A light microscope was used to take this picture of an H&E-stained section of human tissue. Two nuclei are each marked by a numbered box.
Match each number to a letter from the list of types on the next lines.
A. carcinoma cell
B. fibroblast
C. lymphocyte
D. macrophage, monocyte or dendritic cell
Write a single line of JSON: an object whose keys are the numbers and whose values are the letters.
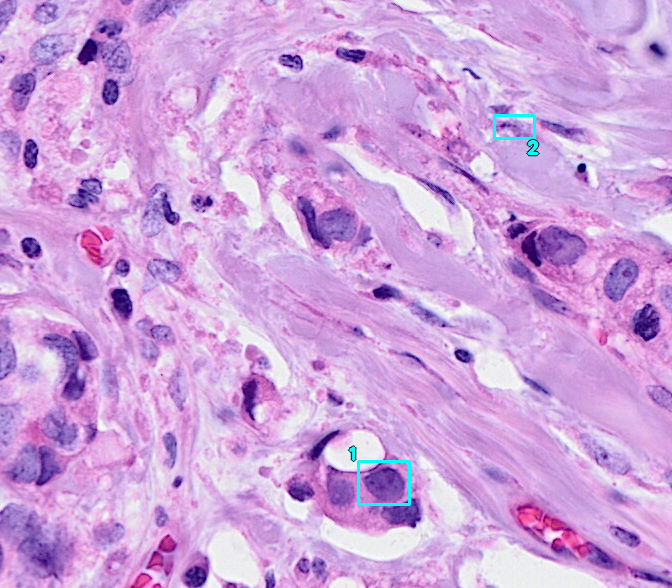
{"1": "A", "2": "B"}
